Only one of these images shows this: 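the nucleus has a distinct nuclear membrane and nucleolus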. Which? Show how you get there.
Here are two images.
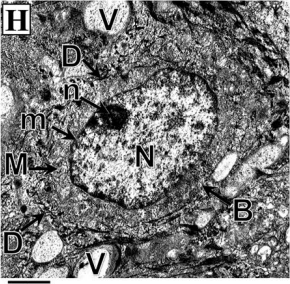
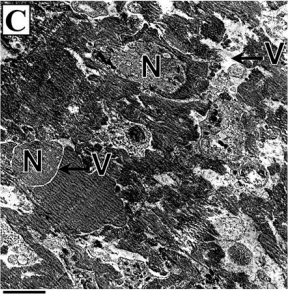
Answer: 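Second image: nuclei are poorly outlined and surrounded by vacuoles in a disorganised cytoplasm. First image: an oval nucleus with a sharp envelope and a dark nucleolus. The answer: the first image.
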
